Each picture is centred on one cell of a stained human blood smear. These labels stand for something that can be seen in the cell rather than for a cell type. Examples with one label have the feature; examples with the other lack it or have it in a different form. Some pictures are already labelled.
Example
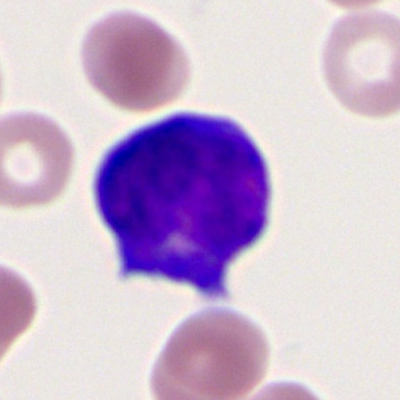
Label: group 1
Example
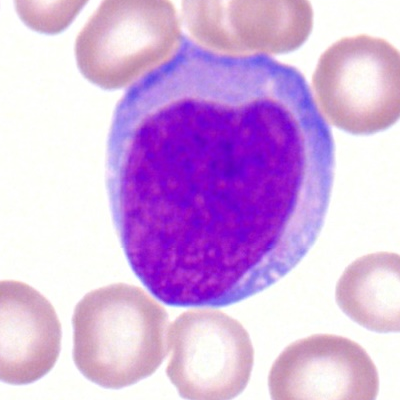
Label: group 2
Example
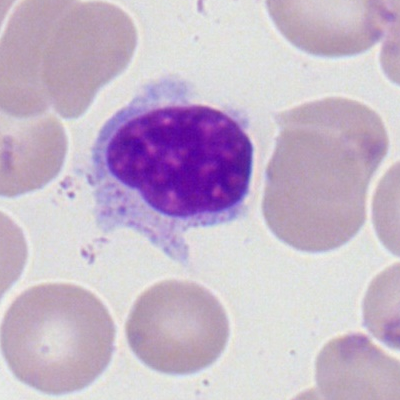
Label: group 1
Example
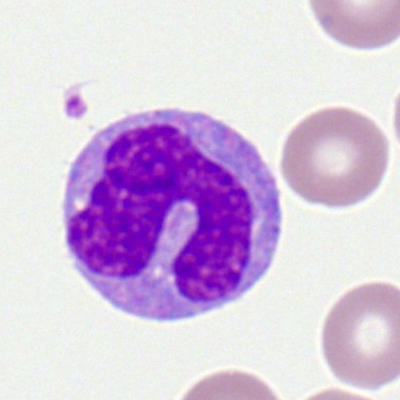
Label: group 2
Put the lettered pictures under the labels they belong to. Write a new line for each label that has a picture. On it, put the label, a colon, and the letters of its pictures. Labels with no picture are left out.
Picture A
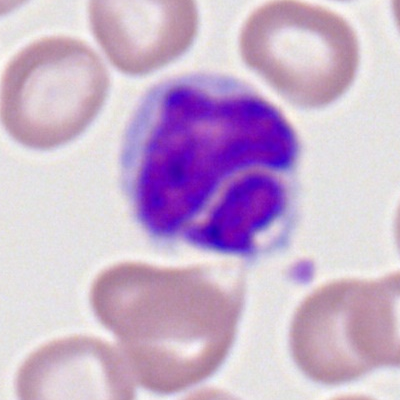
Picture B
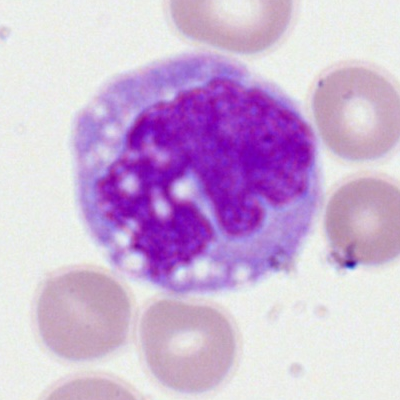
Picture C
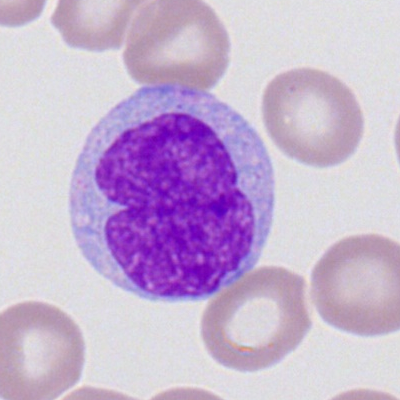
group 2: A, B, C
